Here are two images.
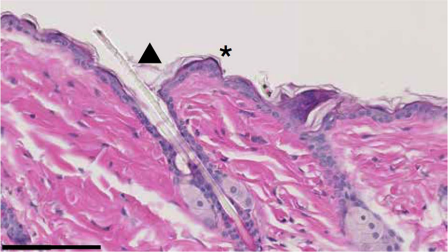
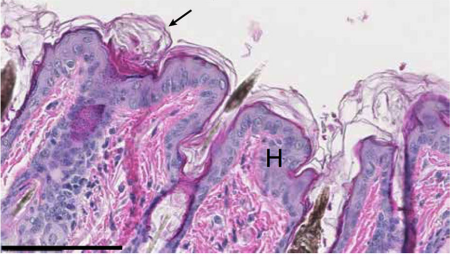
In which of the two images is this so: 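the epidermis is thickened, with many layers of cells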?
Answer: The second image.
